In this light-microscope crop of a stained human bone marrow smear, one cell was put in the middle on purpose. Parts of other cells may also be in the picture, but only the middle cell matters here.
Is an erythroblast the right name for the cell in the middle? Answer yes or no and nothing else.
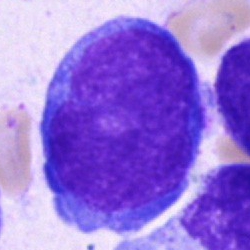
no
